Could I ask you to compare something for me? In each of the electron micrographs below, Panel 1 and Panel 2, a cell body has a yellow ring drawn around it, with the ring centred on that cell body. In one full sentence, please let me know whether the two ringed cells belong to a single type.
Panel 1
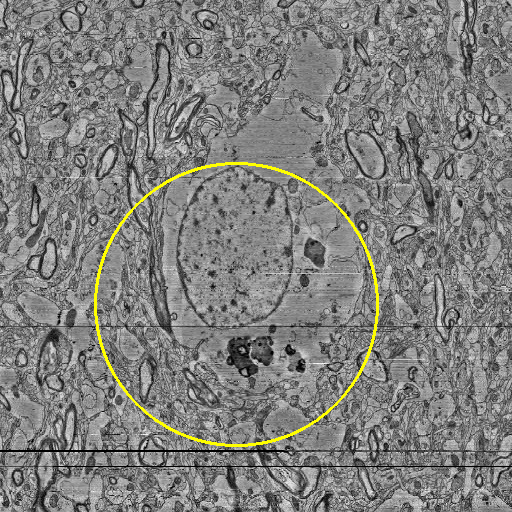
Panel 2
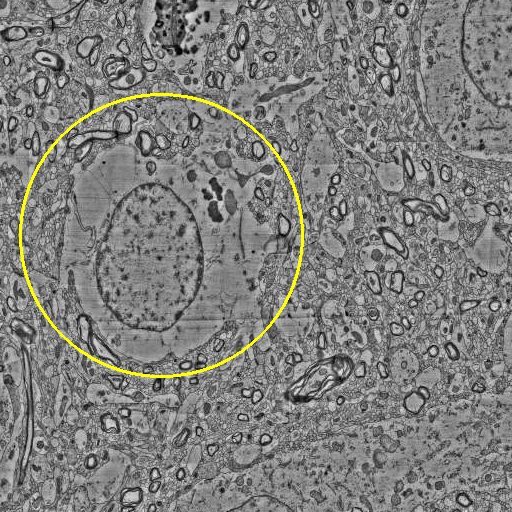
Yes, the two cells at the centres of the rings are of one type.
